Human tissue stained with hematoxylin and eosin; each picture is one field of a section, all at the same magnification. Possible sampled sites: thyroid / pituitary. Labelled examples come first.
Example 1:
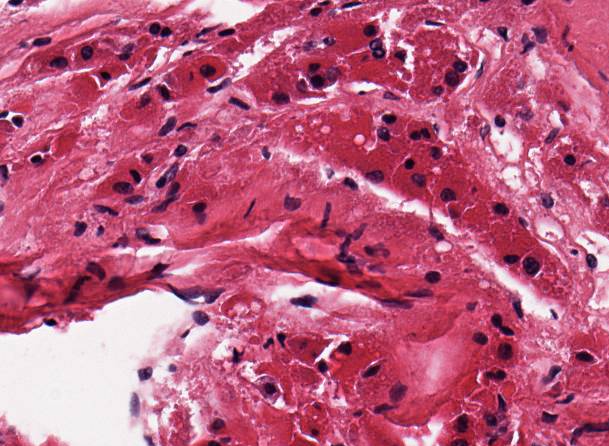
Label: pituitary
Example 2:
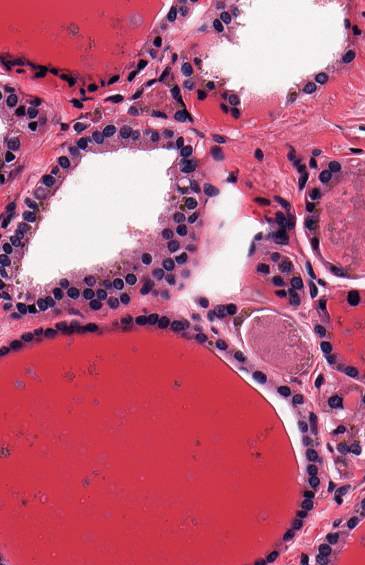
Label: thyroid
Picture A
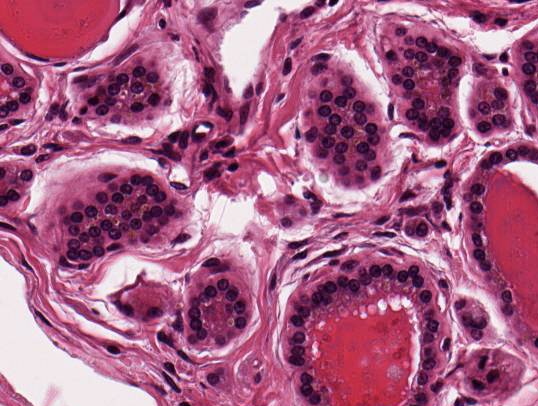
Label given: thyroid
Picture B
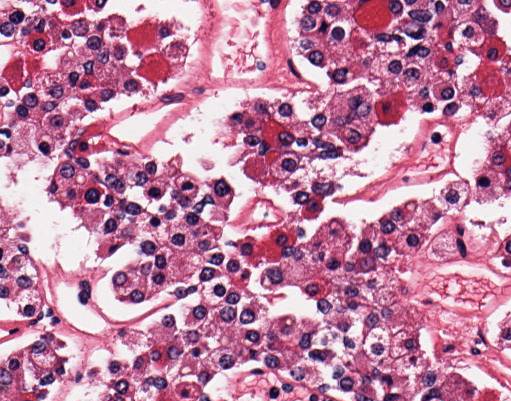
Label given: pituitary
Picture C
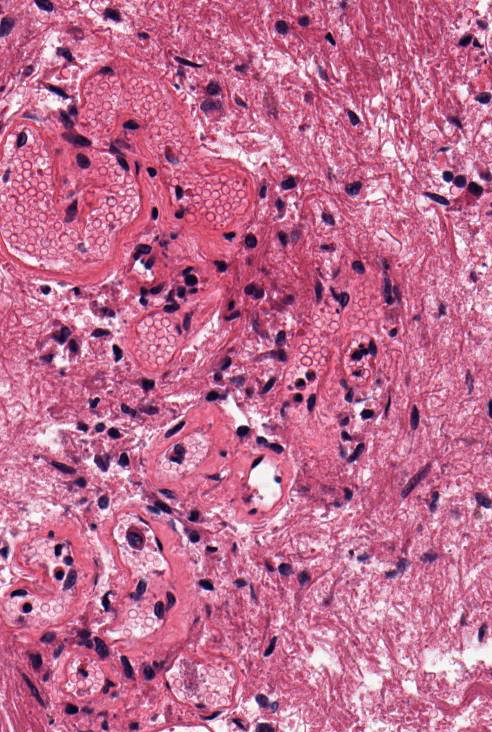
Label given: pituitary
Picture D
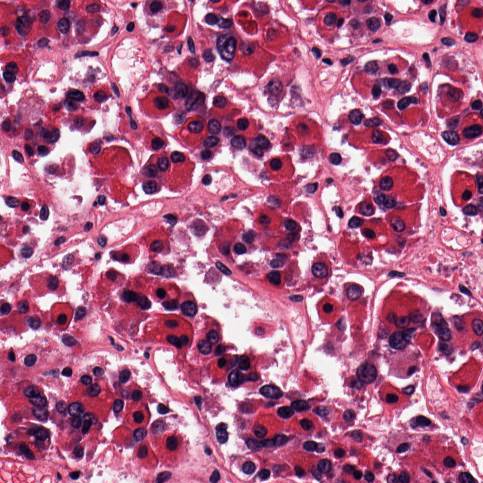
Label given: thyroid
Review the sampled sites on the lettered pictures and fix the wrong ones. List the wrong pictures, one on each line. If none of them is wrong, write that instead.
D should be pituitary, not thyroid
